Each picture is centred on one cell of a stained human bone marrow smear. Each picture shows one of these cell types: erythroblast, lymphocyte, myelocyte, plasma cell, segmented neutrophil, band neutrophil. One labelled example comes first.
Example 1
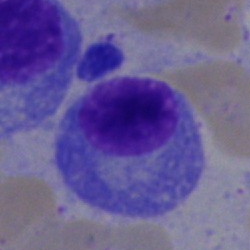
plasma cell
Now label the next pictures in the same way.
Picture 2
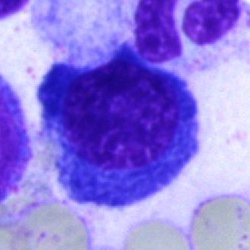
erythroblast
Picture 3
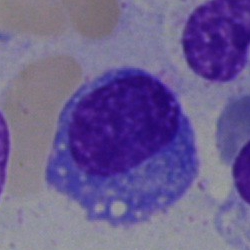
plasma cell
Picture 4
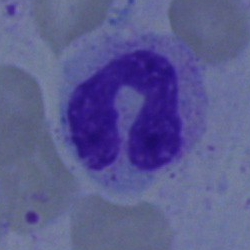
band neutrophil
